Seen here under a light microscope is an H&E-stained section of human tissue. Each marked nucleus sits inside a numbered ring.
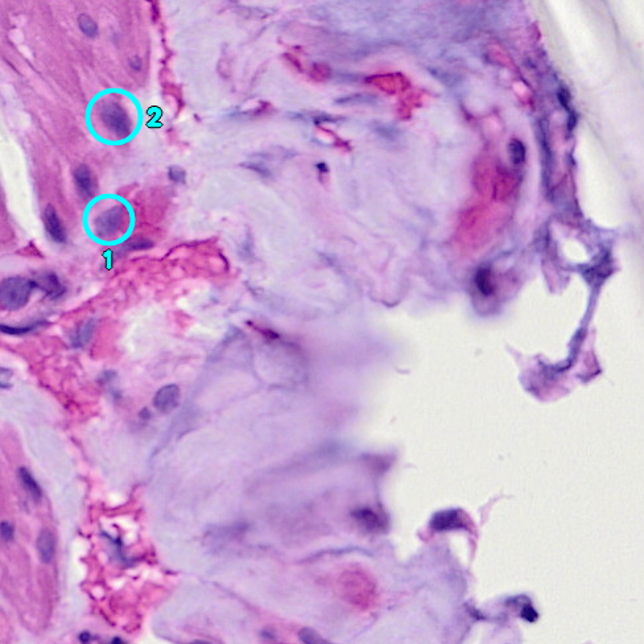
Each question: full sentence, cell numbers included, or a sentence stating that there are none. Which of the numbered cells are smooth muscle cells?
Among the numbered cells, a smooth muscle cell occurs only once, as cell 2.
